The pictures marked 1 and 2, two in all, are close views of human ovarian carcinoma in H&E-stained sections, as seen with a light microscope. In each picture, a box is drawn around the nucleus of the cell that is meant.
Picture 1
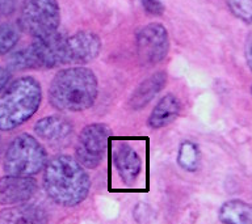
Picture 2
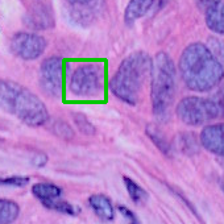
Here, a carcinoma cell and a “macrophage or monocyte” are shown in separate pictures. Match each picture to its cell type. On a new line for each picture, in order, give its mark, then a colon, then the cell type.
1: macrophage or monocyte
2: carcinoma cell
